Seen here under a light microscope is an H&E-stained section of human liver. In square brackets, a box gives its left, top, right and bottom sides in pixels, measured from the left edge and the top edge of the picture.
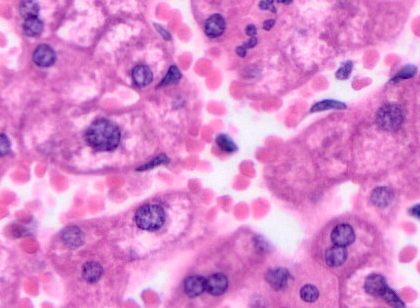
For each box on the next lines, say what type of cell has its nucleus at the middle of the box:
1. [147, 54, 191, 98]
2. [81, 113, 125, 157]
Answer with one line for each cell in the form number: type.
1: fibroblast or stellate cell
2: hepatocyte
